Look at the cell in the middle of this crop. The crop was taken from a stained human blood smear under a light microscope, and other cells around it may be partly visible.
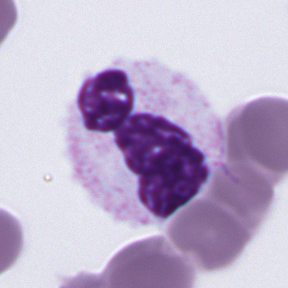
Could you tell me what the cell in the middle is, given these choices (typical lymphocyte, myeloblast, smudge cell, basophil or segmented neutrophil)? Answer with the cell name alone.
segmented neutrophil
